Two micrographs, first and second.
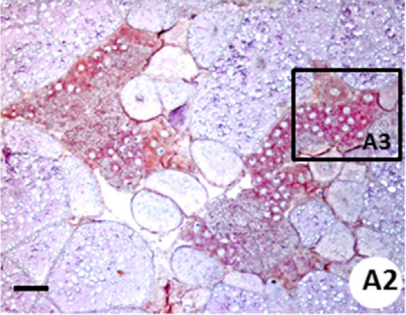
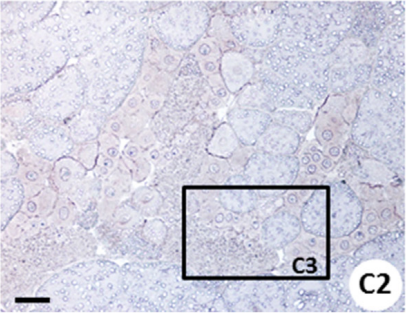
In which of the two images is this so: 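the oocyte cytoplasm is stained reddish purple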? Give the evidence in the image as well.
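Second image: oocytes are pale grey-lilac with no reddish-purple stain. First image: clusters of small oocytes have strongly reddish-purple cytoplasm around pale nuclei.
Answer: the first image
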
